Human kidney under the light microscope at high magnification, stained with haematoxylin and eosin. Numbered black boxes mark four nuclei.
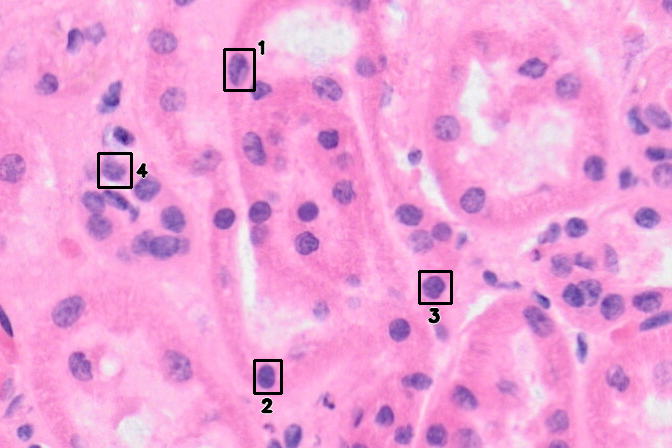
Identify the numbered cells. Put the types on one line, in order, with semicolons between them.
proximal tubule cell; proximal tubule cell; proximal tubule cell; collecting duct cell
